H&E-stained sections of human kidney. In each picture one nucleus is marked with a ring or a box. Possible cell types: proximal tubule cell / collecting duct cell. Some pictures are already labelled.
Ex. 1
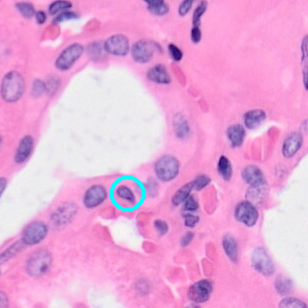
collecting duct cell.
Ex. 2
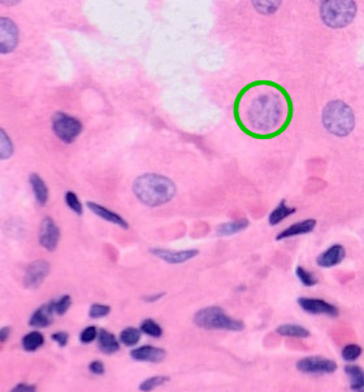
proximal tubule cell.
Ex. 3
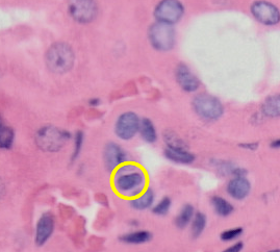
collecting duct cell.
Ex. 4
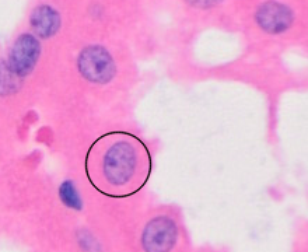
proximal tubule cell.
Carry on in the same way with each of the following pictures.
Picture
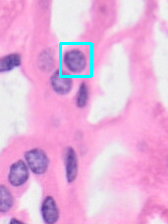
collecting duct cell.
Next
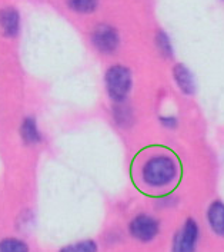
collecting duct cell.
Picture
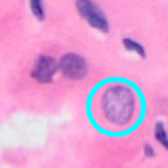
proximal tubule cell.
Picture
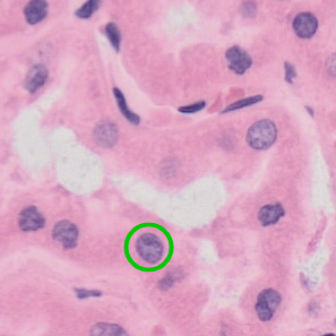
proximal tubule cell.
